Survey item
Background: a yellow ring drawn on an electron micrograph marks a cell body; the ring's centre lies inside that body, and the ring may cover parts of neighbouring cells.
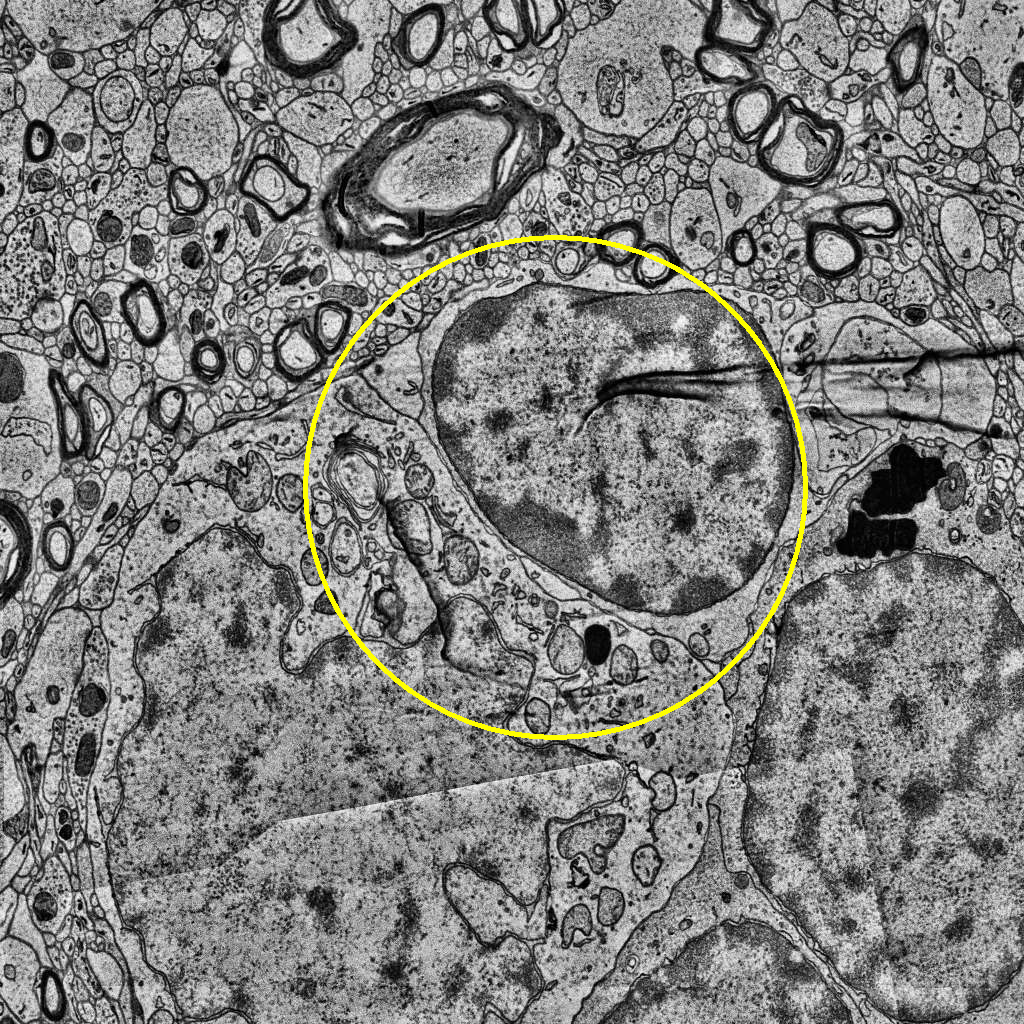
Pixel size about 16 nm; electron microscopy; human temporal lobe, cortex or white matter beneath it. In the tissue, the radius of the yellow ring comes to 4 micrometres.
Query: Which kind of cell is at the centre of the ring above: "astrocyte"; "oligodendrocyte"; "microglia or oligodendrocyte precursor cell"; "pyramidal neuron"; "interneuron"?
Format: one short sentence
The cell in the middle of the ring is a microglial cell or oligodendrocyte precursor cell.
